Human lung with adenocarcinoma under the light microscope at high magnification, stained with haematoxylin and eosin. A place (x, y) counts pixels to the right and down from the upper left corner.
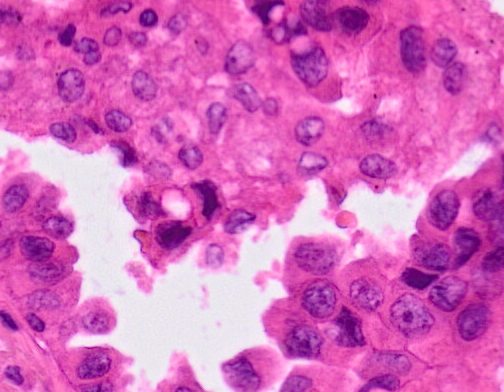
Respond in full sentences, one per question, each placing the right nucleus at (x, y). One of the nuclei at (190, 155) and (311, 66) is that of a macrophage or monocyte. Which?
The member of the pair belonging to a macrophage or monocyte is the nucleus at (190, 155).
